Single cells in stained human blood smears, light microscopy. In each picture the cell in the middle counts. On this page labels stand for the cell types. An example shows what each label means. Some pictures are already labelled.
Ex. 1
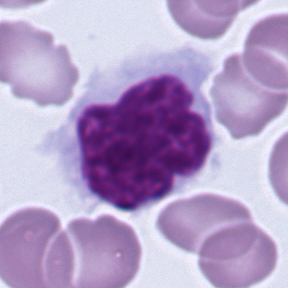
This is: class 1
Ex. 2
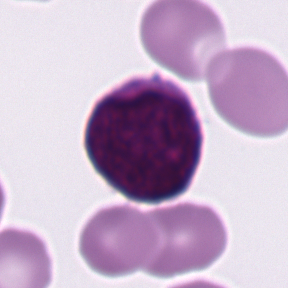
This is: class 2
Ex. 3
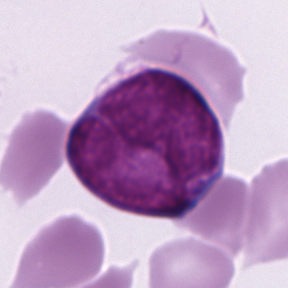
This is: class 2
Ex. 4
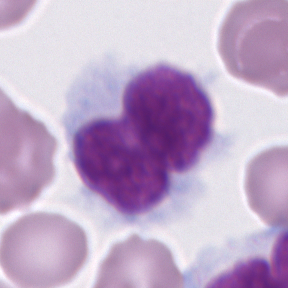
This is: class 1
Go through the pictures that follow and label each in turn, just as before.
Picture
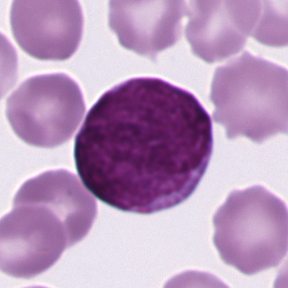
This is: class 2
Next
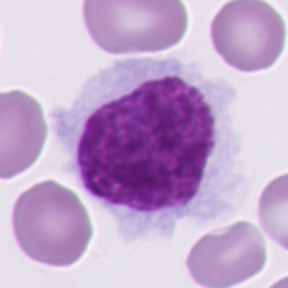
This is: class 1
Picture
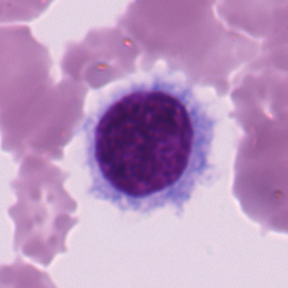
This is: class 1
